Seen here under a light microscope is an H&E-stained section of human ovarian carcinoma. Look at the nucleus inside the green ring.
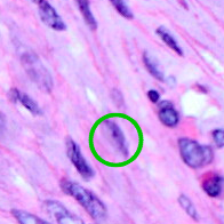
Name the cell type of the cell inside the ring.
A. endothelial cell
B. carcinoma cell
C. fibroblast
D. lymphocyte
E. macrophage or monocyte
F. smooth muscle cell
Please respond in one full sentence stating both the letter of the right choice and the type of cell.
The right option is C, the cell inside the ring being a fibroblast.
